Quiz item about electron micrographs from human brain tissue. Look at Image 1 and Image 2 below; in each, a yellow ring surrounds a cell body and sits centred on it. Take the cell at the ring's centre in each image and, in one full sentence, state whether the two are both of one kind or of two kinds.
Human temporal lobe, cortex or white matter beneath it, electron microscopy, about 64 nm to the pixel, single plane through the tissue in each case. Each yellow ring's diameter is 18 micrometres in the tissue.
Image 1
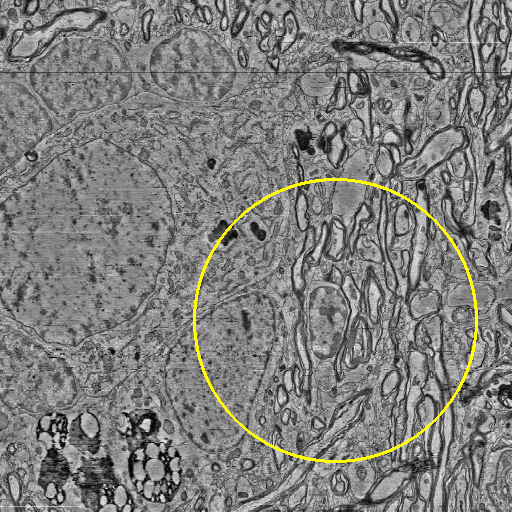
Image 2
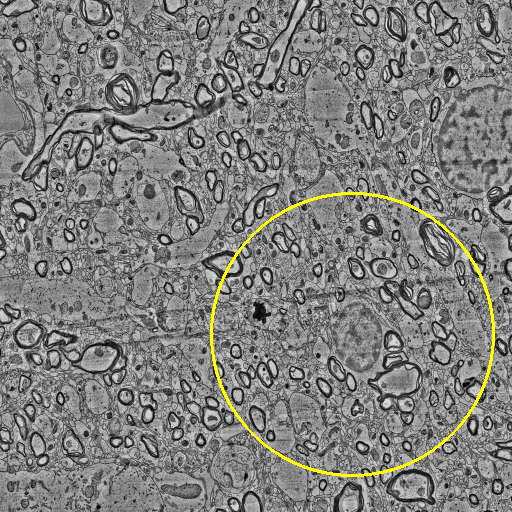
In Image 1 and Image 2, the cells at the ring centres are of two kinds.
